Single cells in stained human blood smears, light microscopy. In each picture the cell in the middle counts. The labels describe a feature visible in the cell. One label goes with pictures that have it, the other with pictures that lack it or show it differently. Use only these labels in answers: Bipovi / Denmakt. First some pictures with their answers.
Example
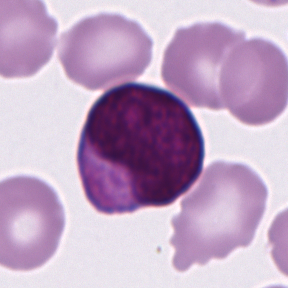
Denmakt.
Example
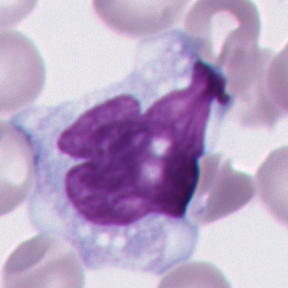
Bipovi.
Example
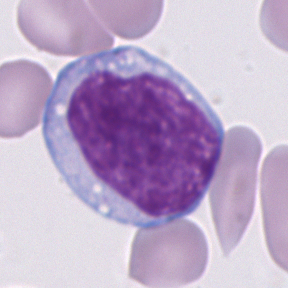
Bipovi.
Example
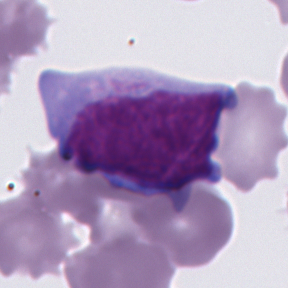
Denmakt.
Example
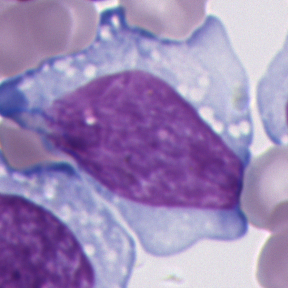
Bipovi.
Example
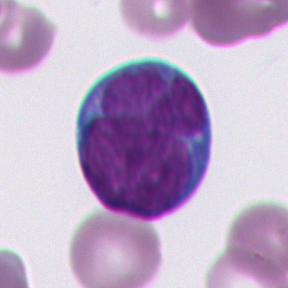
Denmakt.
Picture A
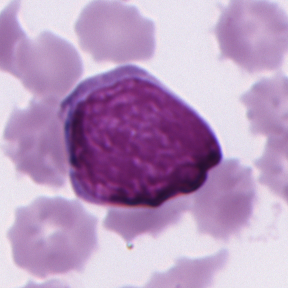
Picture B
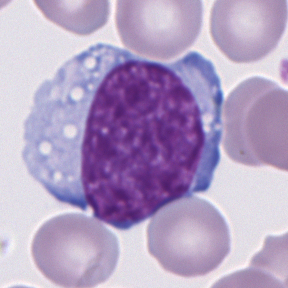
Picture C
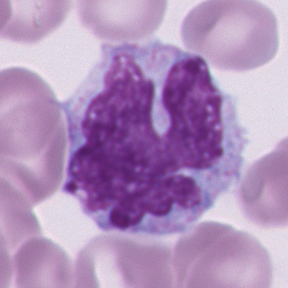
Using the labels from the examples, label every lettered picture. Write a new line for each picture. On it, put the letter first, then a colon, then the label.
A: Denmakt.
B: Bipovi.
C: Denmakt.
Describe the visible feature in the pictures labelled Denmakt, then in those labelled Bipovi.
In Denmakt: no vacuoles. In Bipovi: vacuoles present.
